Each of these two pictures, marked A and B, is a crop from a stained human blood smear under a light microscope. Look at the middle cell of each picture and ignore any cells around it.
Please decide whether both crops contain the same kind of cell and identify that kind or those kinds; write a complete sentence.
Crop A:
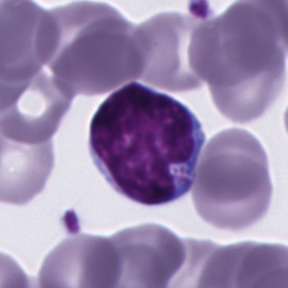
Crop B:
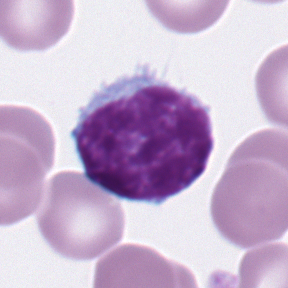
Yes, the cells placed at the centre of both crops are typical lymphocytes.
